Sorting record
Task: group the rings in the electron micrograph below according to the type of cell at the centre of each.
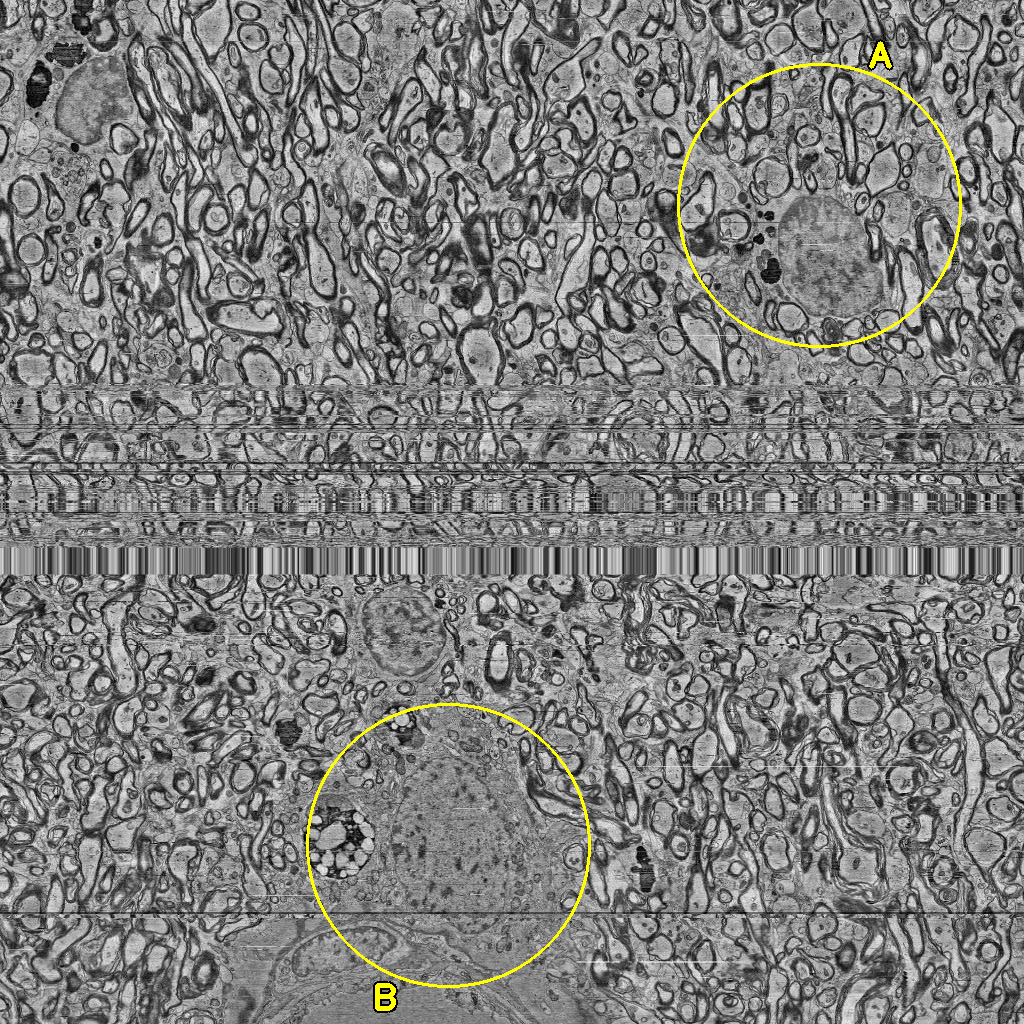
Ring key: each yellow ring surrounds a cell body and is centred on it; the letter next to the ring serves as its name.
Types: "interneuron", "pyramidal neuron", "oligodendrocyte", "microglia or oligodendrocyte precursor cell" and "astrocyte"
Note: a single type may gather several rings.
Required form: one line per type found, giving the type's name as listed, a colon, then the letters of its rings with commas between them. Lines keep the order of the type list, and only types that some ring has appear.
oligodendrocyte: A
astrocyte: B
